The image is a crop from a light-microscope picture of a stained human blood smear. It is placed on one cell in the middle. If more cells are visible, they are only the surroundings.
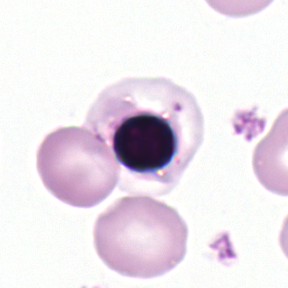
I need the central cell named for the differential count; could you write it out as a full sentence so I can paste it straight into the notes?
Classification of the middle cell gives a normoblast.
